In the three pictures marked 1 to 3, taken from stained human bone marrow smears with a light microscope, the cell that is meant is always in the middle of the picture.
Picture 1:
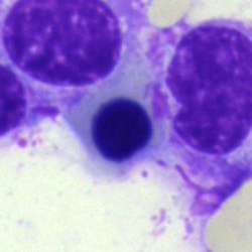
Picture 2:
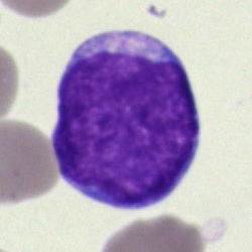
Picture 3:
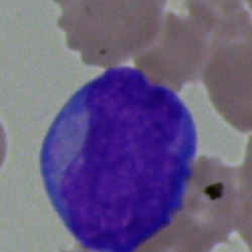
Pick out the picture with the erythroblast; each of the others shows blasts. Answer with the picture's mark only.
1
